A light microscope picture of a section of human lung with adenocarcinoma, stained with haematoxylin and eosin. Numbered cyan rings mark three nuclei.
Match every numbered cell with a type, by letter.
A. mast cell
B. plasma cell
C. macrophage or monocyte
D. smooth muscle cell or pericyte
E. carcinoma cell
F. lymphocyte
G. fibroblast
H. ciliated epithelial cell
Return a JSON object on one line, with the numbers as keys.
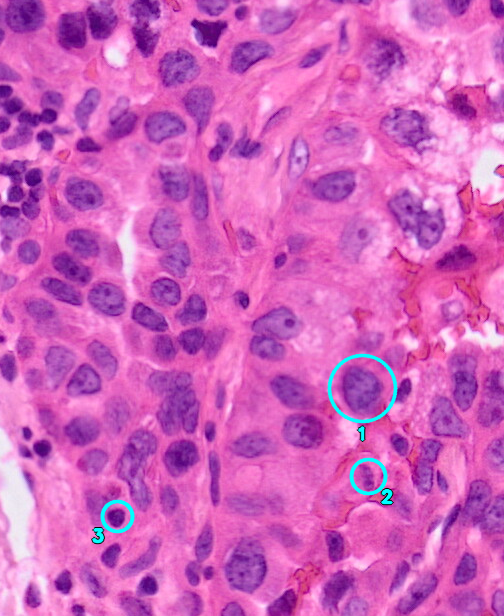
{"1": "E", "2": "C", "3": "F"}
